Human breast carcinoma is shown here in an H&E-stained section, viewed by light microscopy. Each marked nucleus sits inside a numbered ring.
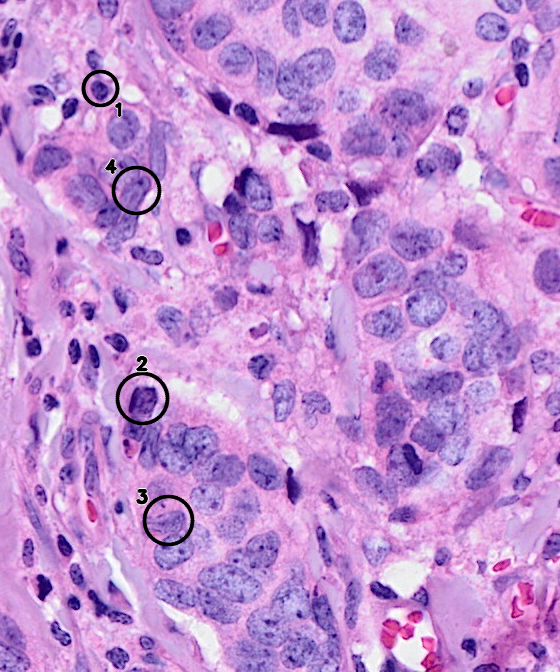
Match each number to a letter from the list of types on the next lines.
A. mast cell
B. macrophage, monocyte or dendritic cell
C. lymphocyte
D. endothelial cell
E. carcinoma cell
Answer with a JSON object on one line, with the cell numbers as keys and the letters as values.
{"1": "C", "2": "E", "3": "E", "4": "E"}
